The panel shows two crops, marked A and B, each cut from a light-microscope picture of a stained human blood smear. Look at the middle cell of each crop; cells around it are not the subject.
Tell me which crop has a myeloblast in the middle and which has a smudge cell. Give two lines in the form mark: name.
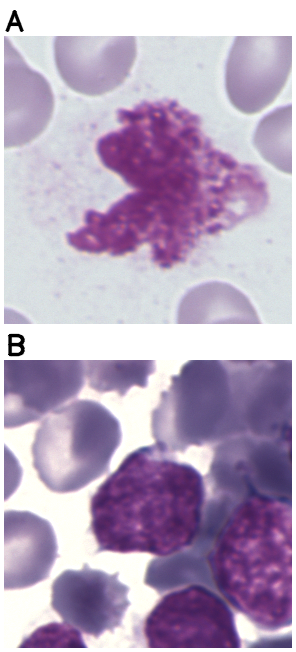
A: smudge cell
B: myeloblast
